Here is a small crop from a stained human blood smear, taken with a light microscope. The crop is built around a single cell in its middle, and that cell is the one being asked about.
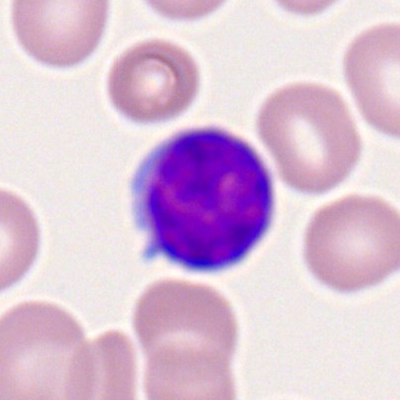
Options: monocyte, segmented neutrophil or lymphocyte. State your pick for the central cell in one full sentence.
Looking at the middle of the crop, the cell there is a lymphocyte.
